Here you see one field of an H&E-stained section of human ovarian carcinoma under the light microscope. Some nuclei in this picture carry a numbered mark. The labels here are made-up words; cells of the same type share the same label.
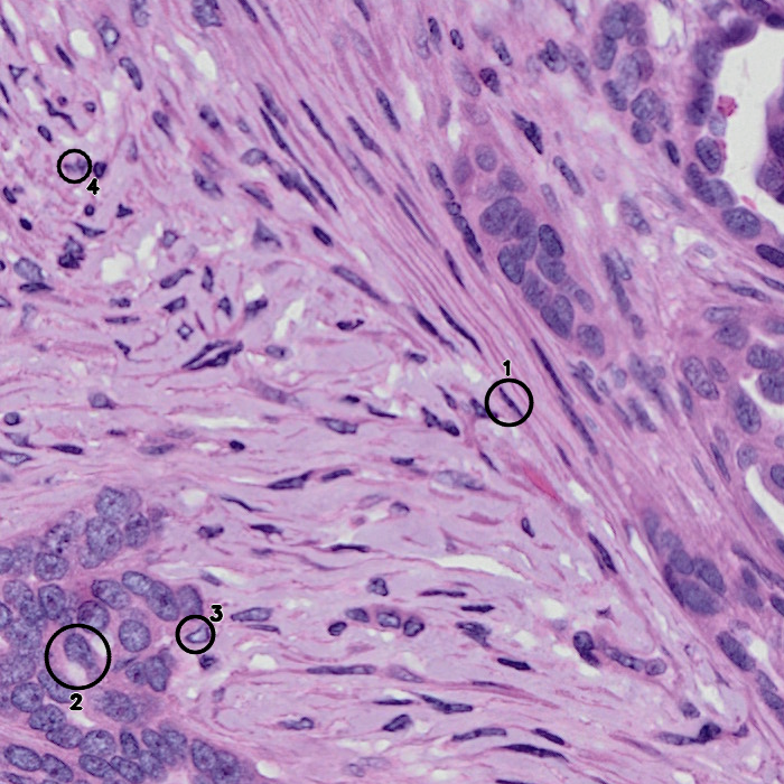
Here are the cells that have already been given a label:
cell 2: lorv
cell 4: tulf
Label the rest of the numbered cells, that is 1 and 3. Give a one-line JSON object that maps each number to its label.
{"1": "tulf", "3": "tulf"}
